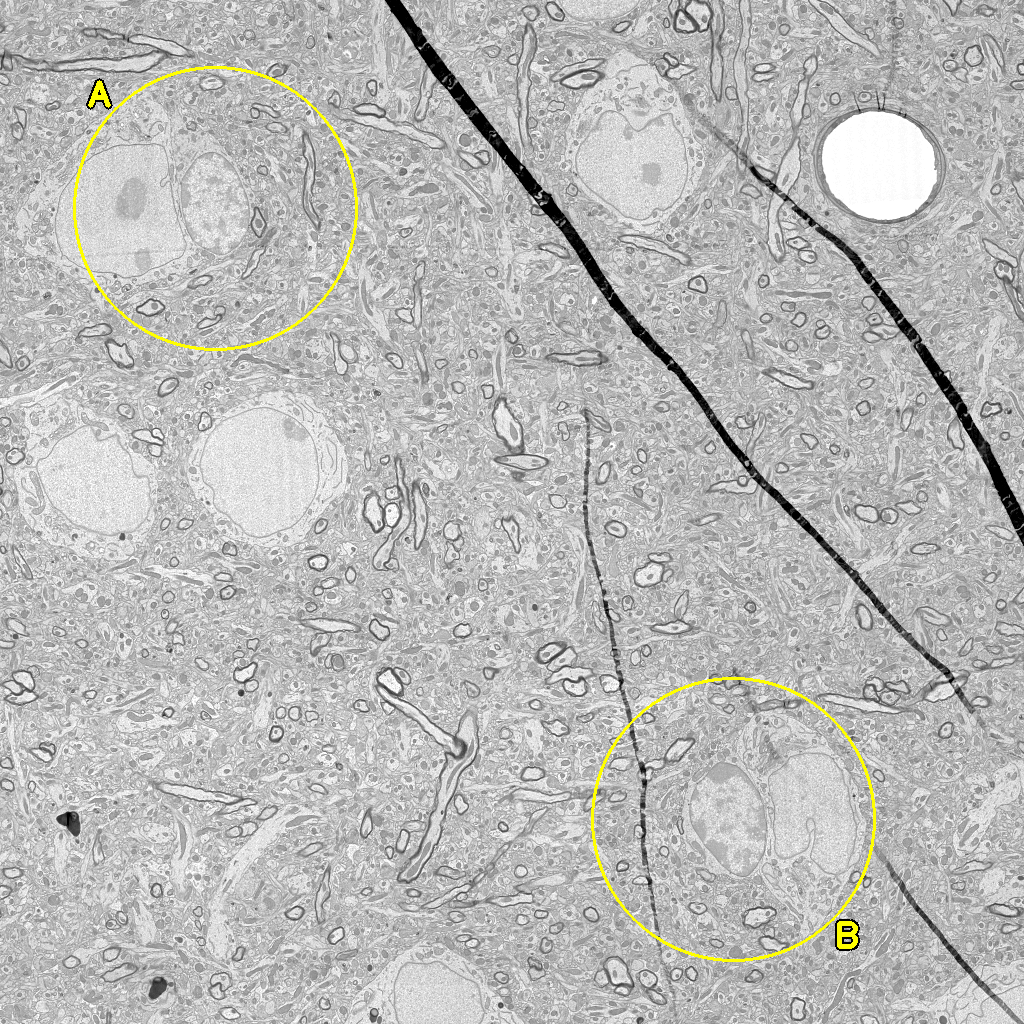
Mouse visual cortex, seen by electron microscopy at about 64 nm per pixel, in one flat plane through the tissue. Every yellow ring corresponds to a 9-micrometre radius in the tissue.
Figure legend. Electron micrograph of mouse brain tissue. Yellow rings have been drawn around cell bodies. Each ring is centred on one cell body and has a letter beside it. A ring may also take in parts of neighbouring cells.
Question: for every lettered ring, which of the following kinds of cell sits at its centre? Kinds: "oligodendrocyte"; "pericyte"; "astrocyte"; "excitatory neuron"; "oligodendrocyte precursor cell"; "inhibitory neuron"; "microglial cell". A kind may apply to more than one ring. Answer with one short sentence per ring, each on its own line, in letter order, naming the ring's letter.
Ring A is centred on an oligodendrocyte.
Ring B is centred on an oligodendrocyte.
